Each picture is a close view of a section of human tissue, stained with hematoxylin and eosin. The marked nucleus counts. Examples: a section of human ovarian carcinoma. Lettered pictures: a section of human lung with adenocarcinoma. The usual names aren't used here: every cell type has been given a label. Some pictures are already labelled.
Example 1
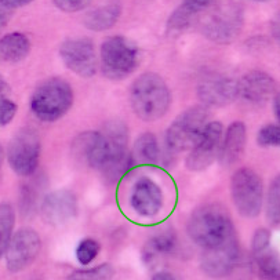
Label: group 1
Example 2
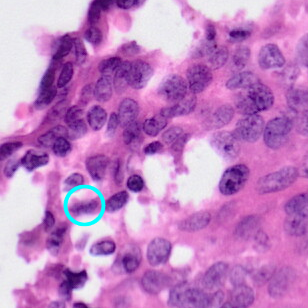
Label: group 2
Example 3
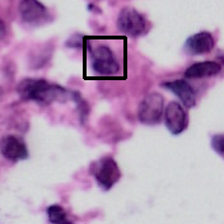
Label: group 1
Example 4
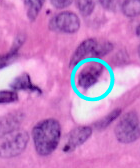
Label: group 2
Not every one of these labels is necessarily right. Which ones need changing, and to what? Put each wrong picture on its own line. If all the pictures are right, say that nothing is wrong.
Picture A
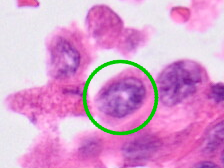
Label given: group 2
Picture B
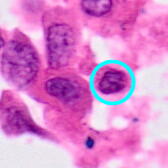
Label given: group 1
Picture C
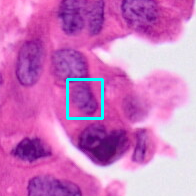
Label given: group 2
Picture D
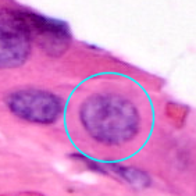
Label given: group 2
All labels are correct.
